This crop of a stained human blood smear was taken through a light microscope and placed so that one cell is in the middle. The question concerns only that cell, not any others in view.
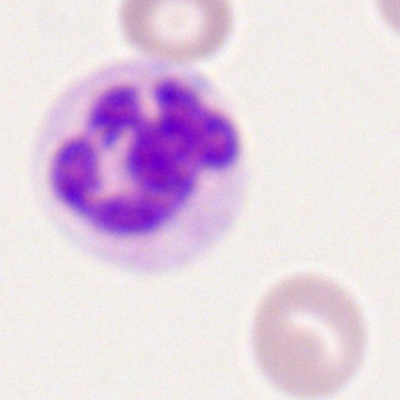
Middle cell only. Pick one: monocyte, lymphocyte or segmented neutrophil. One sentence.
In the centre of this crop there is a segmented neutrophil.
